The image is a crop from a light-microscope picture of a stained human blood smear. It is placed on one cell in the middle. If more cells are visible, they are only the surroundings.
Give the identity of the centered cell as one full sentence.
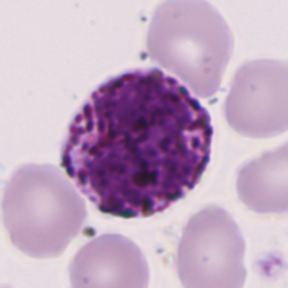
The cell at the heart of this crop is a basophil.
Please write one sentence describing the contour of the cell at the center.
From every side, the cell boundary is smooth and free of projections.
